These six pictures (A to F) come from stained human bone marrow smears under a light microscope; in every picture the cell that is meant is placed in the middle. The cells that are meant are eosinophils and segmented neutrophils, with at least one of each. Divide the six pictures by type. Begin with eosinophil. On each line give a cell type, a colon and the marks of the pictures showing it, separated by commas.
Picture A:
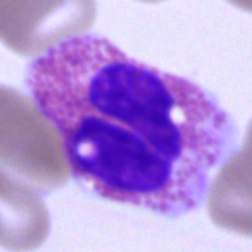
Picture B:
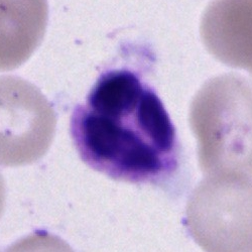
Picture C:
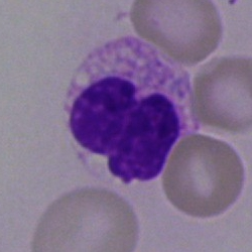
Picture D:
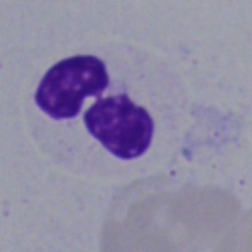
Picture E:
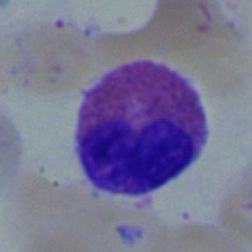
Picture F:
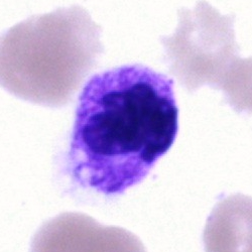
eosinophil: A, E
segmented neutrophil: B, C, D, F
